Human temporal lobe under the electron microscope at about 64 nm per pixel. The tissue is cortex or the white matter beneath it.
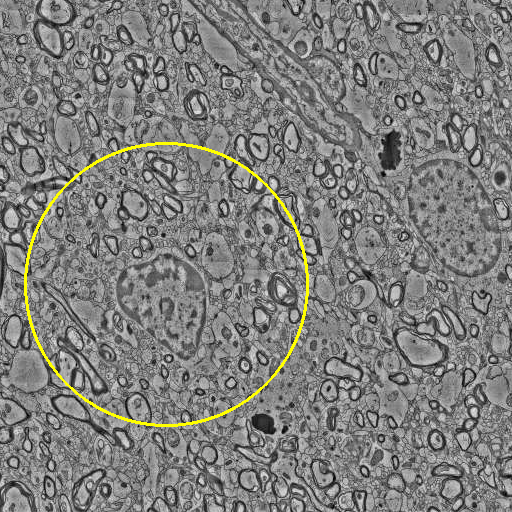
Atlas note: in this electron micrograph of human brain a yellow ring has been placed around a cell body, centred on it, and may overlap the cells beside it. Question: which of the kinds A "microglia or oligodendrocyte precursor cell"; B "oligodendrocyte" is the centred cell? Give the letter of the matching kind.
A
